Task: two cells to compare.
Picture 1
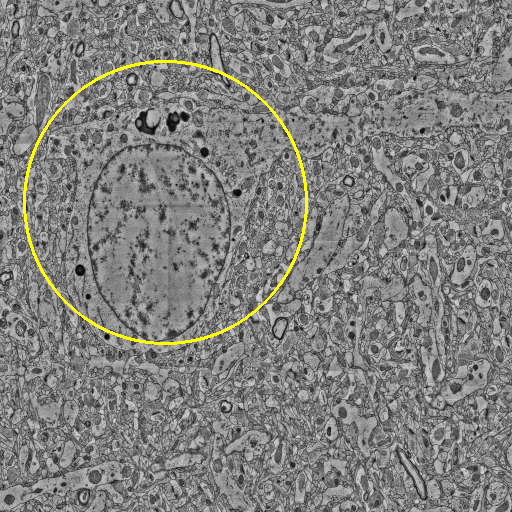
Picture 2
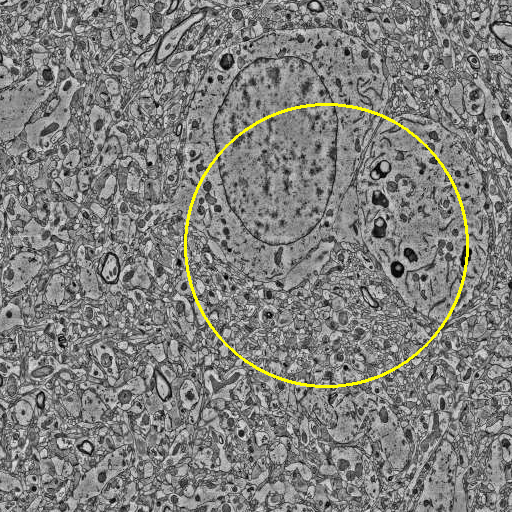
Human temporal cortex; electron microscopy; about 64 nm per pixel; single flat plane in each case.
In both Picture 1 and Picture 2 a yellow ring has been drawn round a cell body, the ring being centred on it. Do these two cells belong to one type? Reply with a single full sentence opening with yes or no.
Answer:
No, the two cells at the ring centres in Picture 1 and Picture 2 are of two types.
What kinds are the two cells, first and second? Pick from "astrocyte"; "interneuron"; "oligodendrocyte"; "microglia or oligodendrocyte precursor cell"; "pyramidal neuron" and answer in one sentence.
The second picture holds an oligodendrocyte in its ring, and the first holds a pyramidal neuron.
